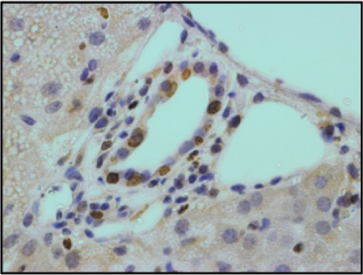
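Here a portal area of the liver is seen, with small ductules cut in cross-section beside larger thin-walled vessels. The ductules are lined by small cuboidal cells with closely packed nuclei, and many of these nuclei are stained brown. Around the ductules lie spindle-shaped cells with dark blue nuclei in loose connective tissue. The contrast between the small crowded duct-lining cells and the broad surrounding liver cells is easy to see.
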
